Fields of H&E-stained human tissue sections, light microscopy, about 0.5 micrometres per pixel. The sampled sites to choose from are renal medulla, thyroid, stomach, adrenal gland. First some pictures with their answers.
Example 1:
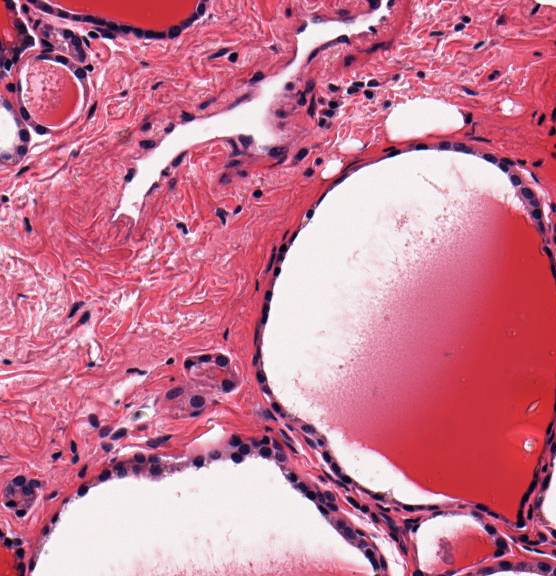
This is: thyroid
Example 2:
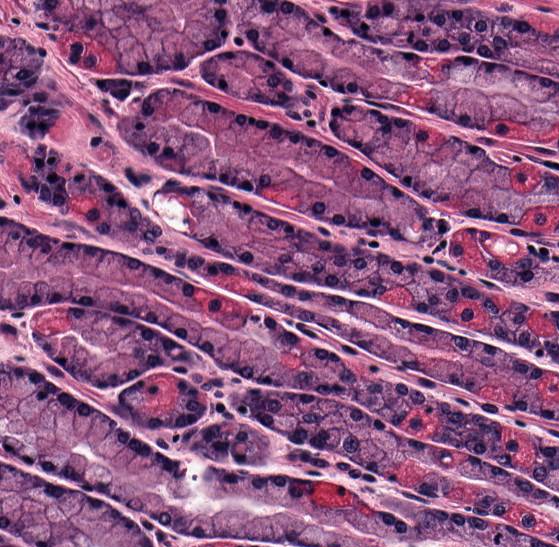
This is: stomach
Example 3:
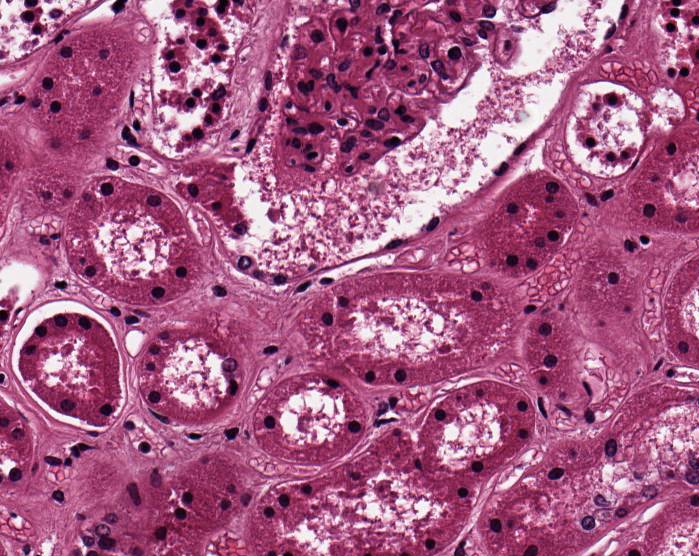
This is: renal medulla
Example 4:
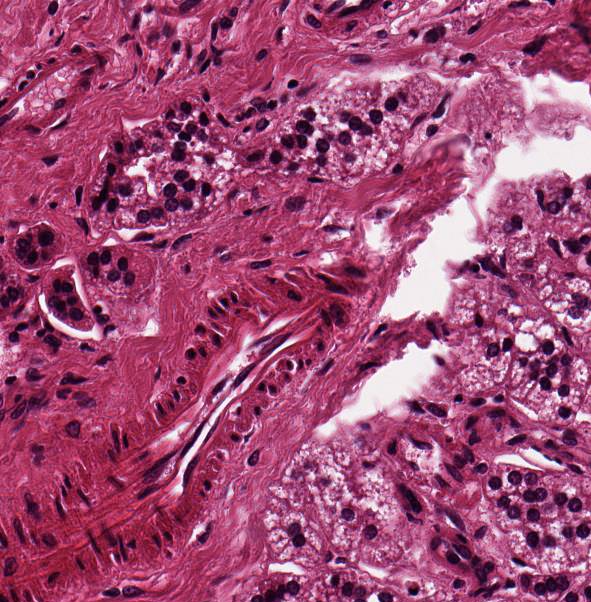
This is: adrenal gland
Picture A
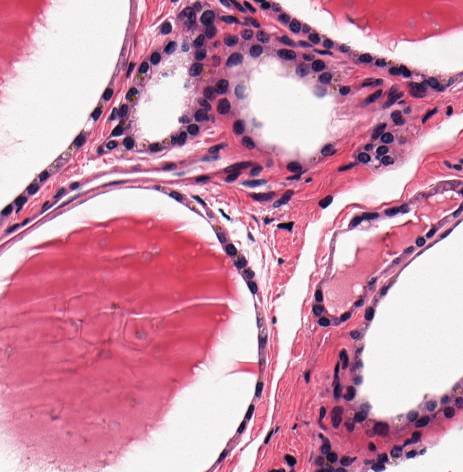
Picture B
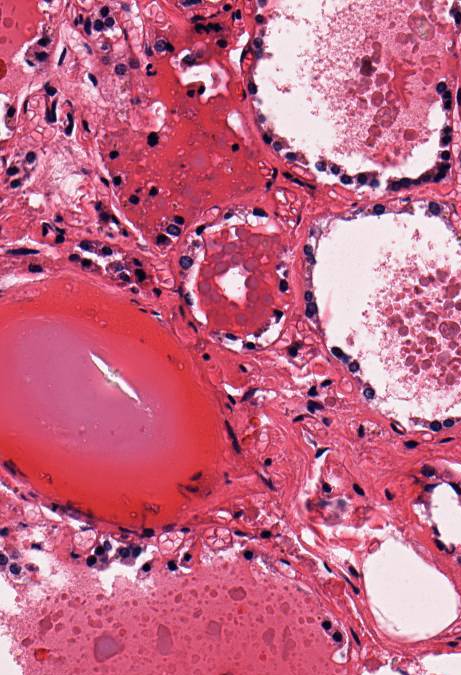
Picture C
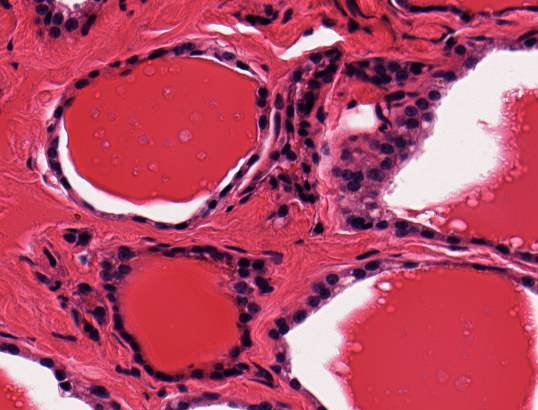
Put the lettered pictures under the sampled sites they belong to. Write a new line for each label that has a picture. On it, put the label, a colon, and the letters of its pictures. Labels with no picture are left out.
thyroid: A, B, C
